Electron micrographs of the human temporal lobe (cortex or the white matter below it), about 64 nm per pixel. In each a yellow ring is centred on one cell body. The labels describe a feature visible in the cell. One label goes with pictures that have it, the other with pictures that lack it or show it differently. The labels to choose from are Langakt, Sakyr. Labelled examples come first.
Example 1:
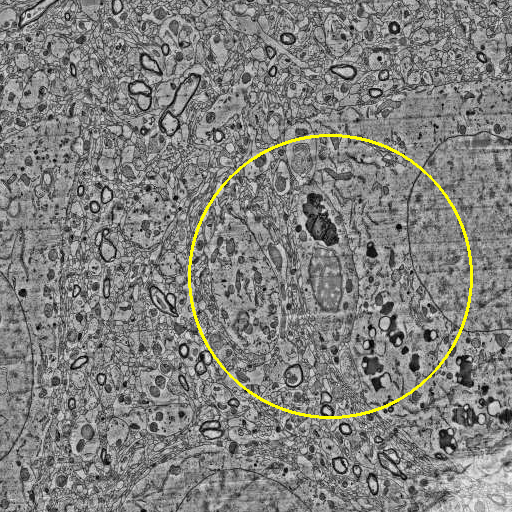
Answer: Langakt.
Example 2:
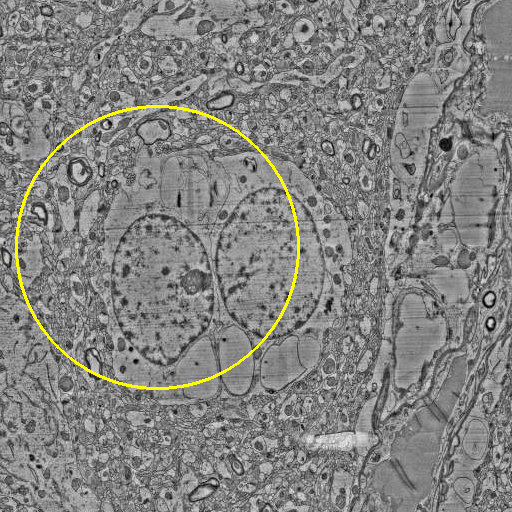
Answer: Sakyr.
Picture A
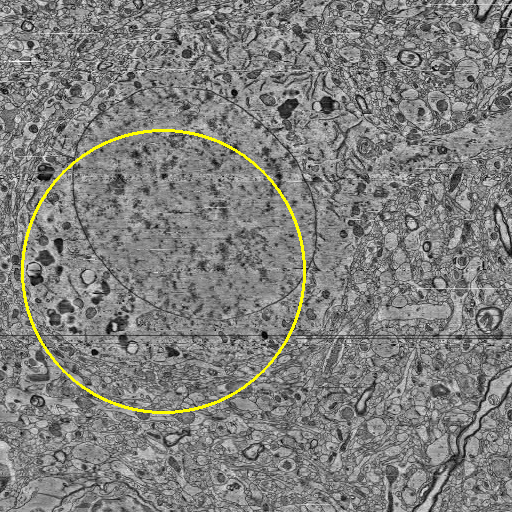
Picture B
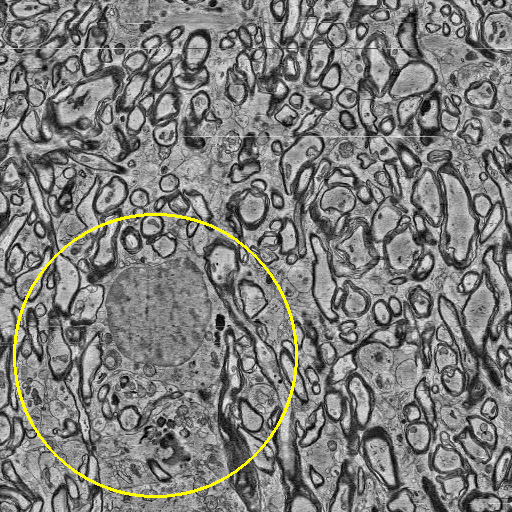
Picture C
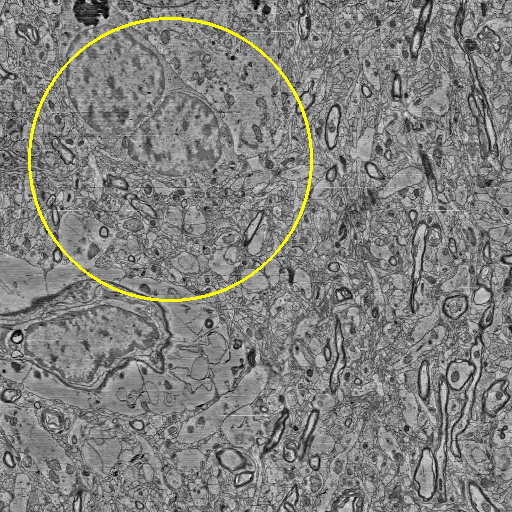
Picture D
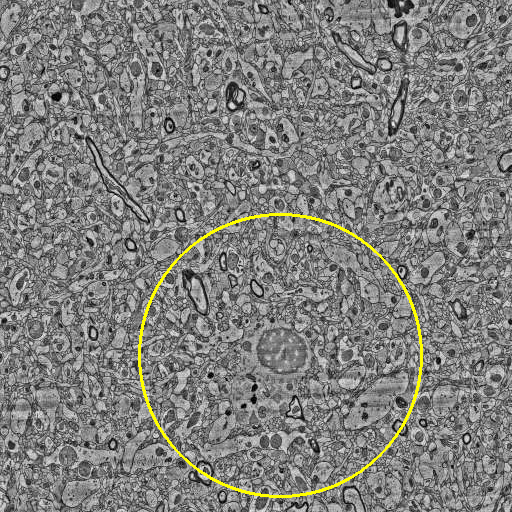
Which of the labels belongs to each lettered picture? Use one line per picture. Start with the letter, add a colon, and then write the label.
A: Langakt.
B: Langakt.
C: Langakt.
D: Langakt.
